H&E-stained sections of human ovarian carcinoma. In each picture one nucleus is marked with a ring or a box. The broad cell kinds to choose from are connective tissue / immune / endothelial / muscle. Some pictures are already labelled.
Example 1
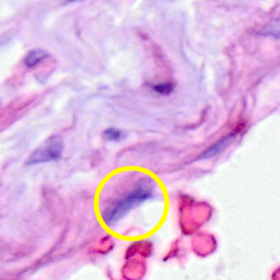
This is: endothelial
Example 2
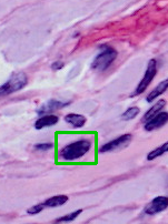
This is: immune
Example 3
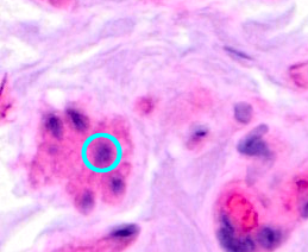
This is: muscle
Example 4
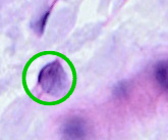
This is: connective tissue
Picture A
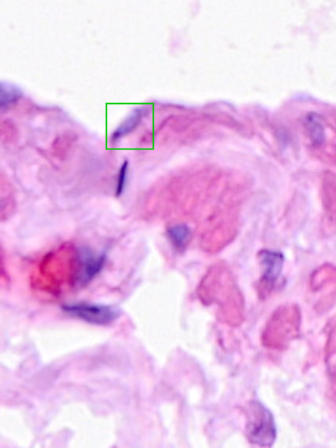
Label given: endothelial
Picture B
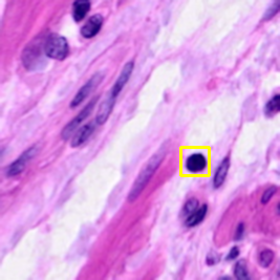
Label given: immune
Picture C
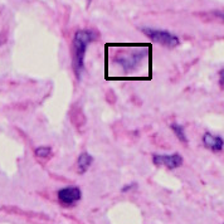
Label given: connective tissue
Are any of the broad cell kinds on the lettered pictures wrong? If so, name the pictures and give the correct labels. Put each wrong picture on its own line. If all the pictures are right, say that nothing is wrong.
Nothing to fix; every label fits.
